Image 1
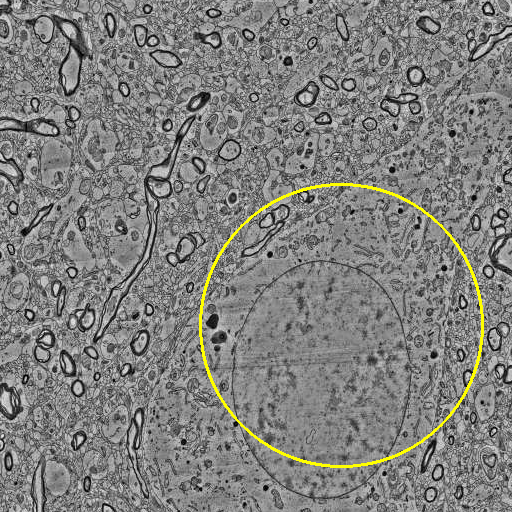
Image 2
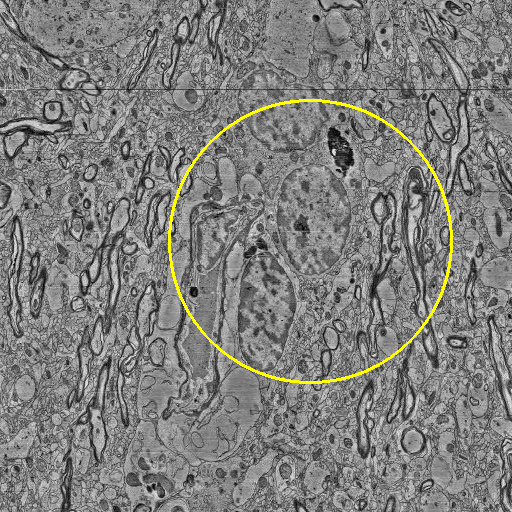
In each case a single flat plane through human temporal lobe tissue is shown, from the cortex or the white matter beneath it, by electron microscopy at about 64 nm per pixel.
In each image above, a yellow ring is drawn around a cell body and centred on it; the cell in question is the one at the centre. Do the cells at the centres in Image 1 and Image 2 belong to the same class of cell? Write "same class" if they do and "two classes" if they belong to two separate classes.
two classes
